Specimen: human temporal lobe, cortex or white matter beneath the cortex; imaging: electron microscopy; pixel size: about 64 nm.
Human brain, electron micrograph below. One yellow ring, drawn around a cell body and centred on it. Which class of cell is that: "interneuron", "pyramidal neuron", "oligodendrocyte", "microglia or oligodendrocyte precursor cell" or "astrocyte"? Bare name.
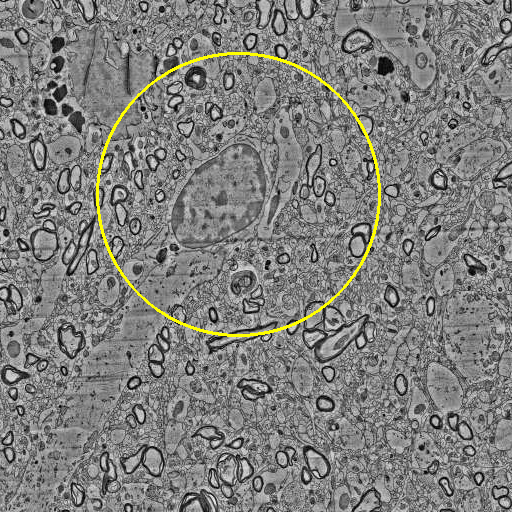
microglia or oligodendrocyte precursor cell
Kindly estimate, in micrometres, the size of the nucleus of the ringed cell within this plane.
Roughly 8 micrometres long and 5 micrometres wide; in this plane the nucleus is clearly longer than it is wide.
